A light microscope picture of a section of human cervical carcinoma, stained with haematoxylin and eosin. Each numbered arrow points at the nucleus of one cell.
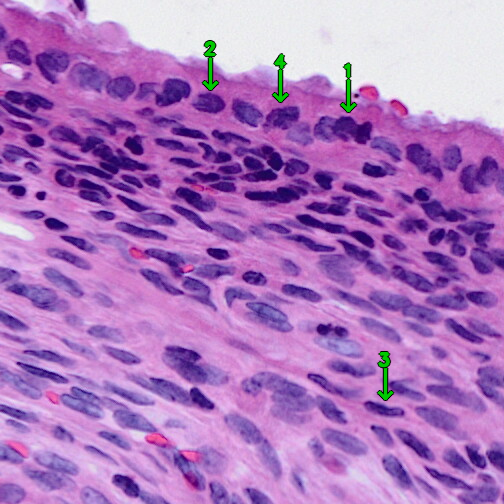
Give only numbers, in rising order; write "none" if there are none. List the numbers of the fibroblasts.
3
